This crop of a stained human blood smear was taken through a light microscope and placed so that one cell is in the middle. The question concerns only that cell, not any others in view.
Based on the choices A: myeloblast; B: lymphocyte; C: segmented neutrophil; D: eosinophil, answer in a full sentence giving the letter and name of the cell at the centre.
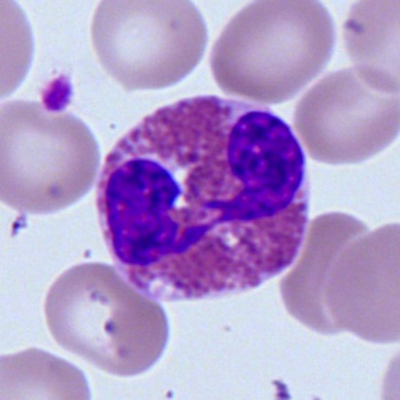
Option D is the keyed answer: the cell in the middle is an eosinophil.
